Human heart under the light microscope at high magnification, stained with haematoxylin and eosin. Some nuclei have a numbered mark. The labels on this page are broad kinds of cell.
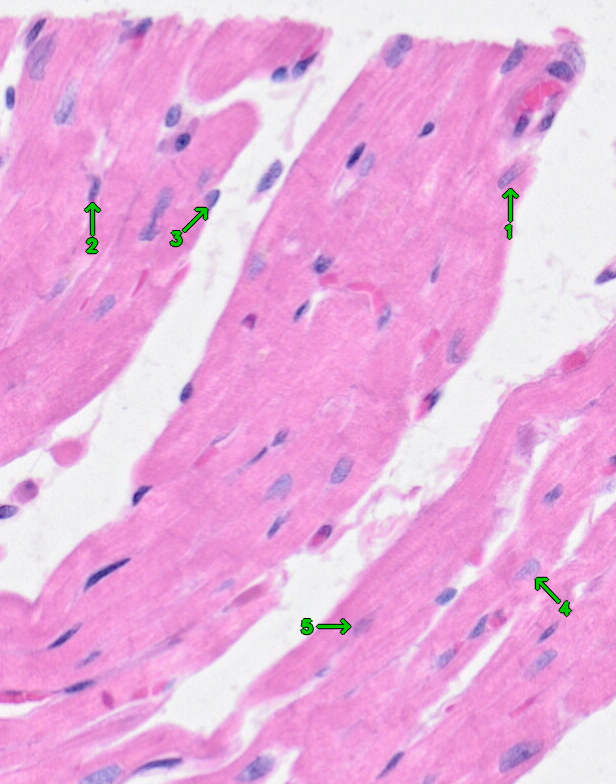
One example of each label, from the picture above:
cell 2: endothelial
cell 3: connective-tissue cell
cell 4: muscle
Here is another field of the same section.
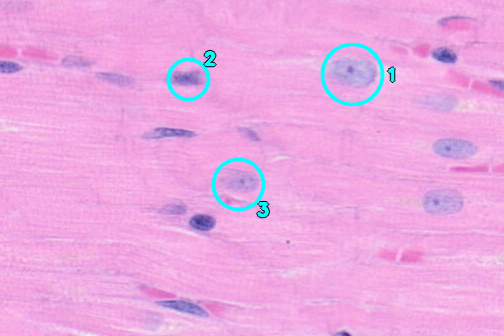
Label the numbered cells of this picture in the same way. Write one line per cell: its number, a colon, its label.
1: muscle
2: endothelial
3: muscle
